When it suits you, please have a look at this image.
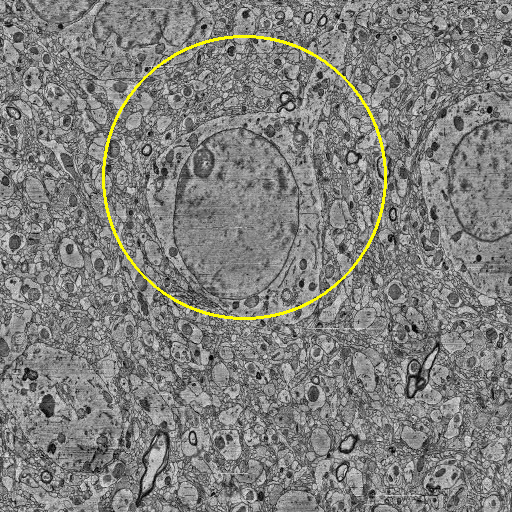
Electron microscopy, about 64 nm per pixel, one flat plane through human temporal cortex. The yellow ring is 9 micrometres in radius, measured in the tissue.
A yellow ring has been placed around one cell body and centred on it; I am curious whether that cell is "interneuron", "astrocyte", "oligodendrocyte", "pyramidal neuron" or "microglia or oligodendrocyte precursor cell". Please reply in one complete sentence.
The ringed cell, a pyramidal neuron, has its body at the centre of the yellow ring.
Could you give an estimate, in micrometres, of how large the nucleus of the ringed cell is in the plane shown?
The ringed cell's nucleus is about 12 micrometres long and 8 micrometres wide in this plane.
